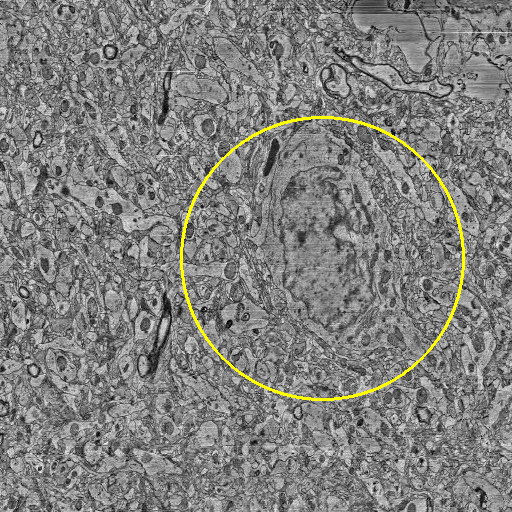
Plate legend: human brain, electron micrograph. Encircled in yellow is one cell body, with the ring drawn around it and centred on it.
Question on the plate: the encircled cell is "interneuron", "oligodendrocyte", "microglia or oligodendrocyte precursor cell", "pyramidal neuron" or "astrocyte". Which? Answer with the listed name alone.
interneuron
